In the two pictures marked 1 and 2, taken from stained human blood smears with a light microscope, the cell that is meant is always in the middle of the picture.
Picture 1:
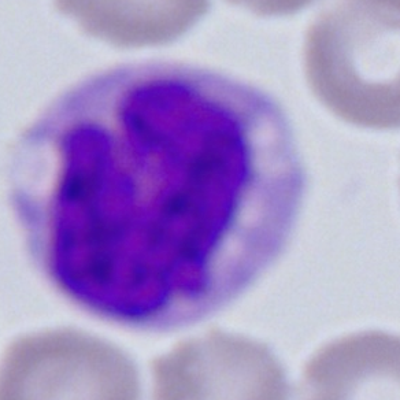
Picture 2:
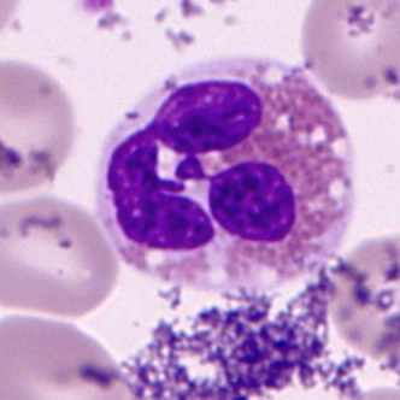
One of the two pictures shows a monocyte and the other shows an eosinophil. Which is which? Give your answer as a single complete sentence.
The cell in picture 1 is a monocyte, and the one in picture 2 is an eosinophil.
